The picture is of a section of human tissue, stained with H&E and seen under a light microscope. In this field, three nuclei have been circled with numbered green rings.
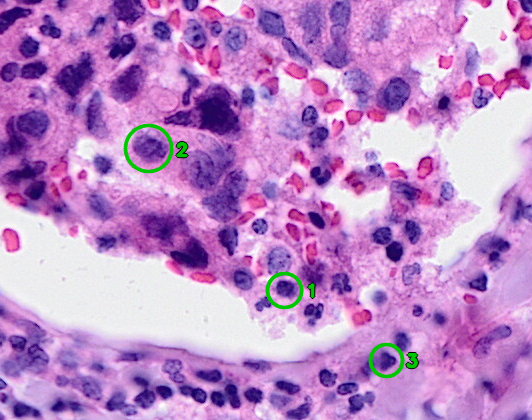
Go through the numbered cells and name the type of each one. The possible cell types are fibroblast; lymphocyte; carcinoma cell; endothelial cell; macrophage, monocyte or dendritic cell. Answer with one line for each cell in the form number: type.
1: lymphocyte
2: carcinoma cell
3: lymphocyte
